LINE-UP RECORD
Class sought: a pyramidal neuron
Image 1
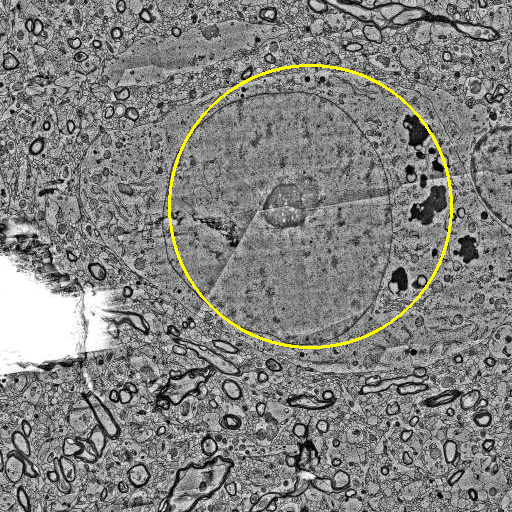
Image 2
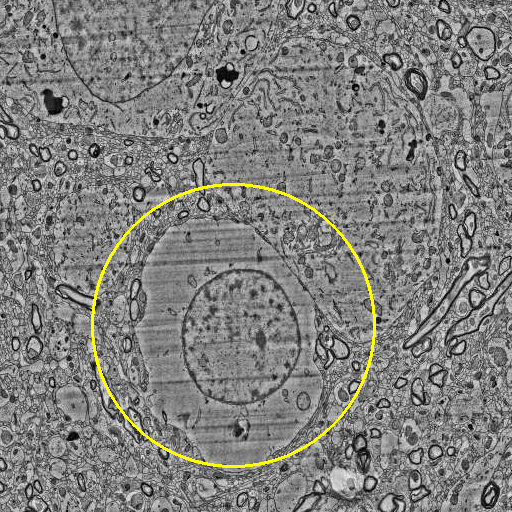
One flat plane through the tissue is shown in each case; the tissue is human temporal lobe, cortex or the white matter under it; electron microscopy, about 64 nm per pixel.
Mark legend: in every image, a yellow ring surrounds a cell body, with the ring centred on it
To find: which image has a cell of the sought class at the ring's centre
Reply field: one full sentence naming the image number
The ring-centred cell of image 1 belongs to the class sought.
